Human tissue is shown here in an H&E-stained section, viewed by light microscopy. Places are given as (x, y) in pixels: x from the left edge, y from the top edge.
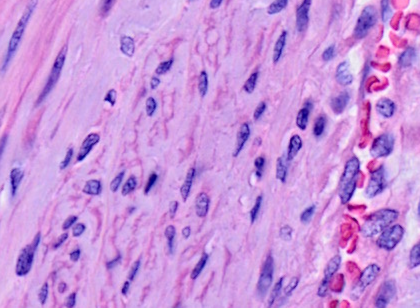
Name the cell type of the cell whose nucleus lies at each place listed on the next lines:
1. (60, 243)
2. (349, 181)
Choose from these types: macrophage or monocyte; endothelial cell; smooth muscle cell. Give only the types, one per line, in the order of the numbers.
smooth muscle cell
endothelial cell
